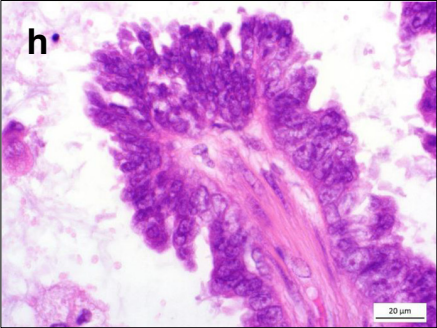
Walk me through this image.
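A single papilla of tumour cells is seen at high power. A slender core of pink, wavy fibrous tissue runs up the middle and is covered by crowded epithelial cells that pile into several layers and small tufts at the tip. The cells have purple-pink cytoplasm and oval to rounded, darkly stained nuclei that vary a little in size, with dense chromatin. Some nuclei show a distinct nucleolus. The papilla projects into a clear, pale space containing a few loose detached cells and faint debris.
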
